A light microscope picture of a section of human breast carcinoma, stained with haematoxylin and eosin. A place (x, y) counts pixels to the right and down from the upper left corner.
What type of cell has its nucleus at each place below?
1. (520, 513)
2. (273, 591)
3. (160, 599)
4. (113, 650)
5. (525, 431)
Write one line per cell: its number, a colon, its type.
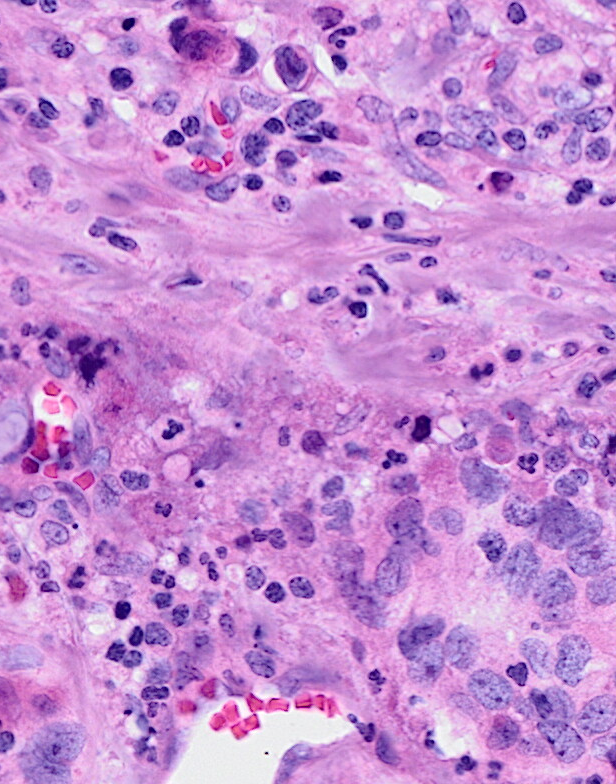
1: carcinoma cell
2: lymphocyte
3: lymphocyte
4: lymphocyte
5: endothelial cell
